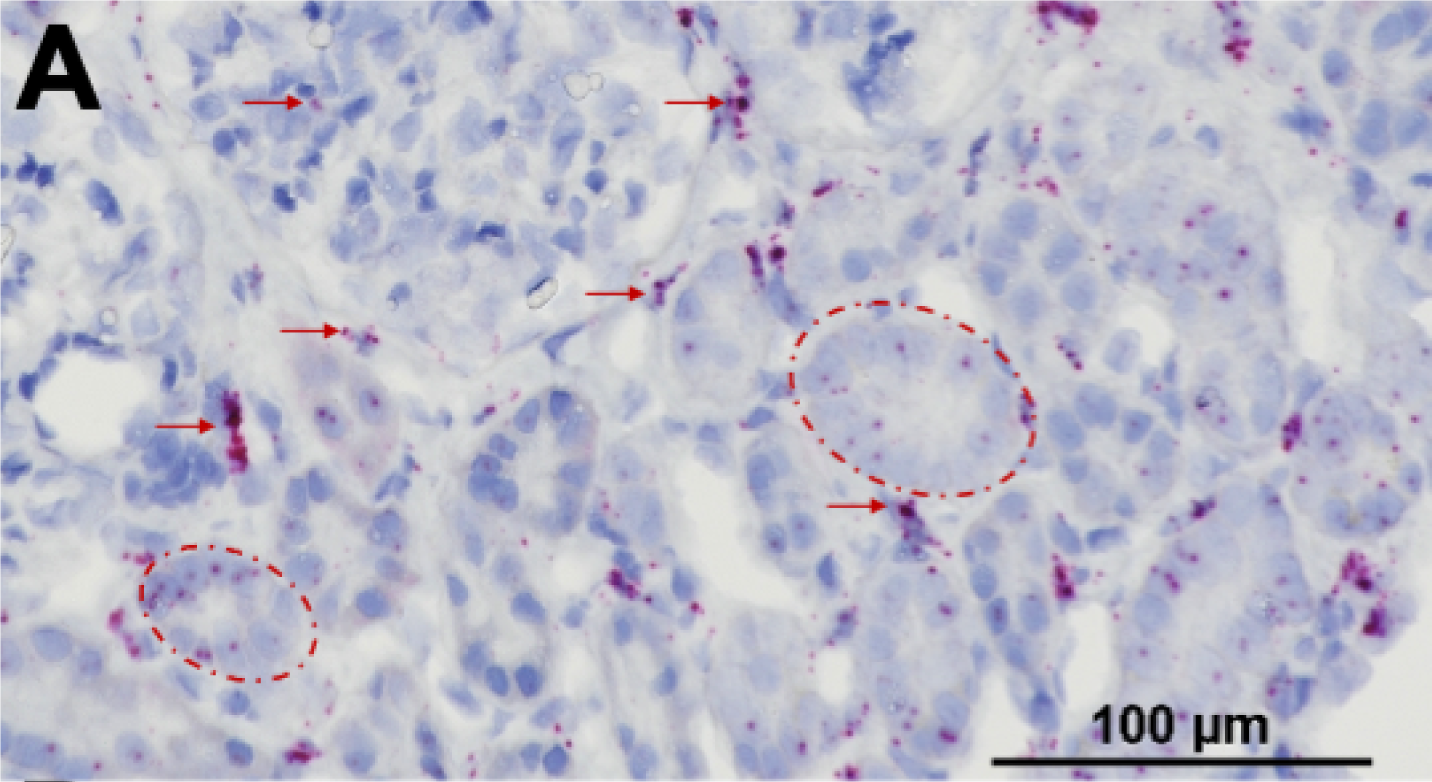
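Kidney tissue is seen with rounded tubule profiles of cuboidal epithelial cells, their pale blue nuclei arranged around small lumens, separated by narrow interstitium. Dark purple dots lie scattered throughout: fine single dots sit within the tubular epithelial cells, while denser purple clusters gather over elongated cells squeezed in the spaces between tubules. The interstitial cells carrying these clusters are small with dark, compressed nuclei, unlike the larger round nuclei of the epithelium.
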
